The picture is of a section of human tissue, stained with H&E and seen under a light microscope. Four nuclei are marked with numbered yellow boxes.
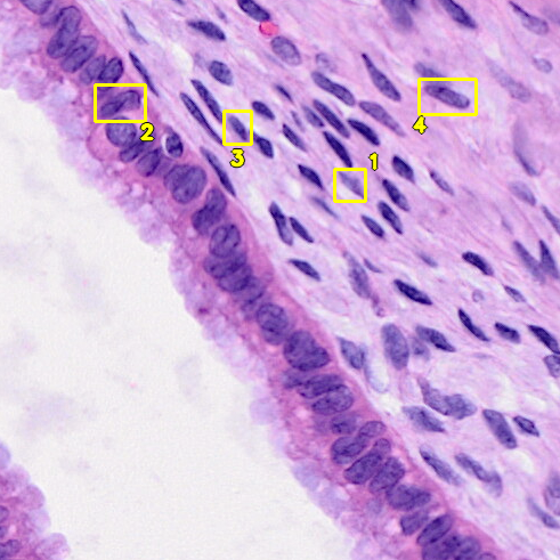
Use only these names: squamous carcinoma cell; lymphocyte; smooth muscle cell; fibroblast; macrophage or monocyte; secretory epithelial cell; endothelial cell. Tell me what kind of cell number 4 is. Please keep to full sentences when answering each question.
The cell that goes by number 4 is a fibroblast.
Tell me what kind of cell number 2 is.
In this section, the cell numbered 2 is a secretory epithelial cell.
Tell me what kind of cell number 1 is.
The cell marked with the number 1 is a fibroblast.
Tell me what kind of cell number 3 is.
The numbered cell 3 is identified here as a fibroblast.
